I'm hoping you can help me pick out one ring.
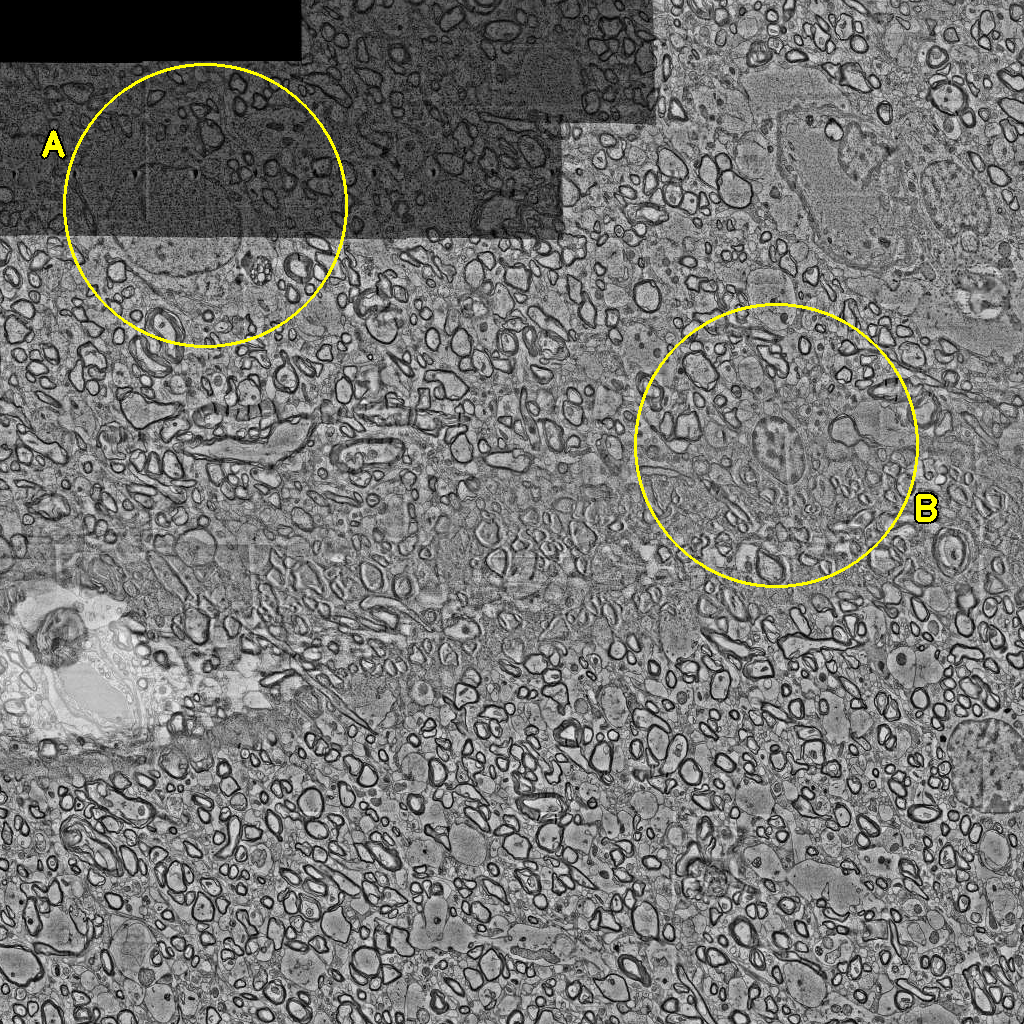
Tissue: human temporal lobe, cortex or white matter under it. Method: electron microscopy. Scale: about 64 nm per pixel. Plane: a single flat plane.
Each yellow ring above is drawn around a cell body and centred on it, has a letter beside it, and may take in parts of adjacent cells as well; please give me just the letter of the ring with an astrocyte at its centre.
A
